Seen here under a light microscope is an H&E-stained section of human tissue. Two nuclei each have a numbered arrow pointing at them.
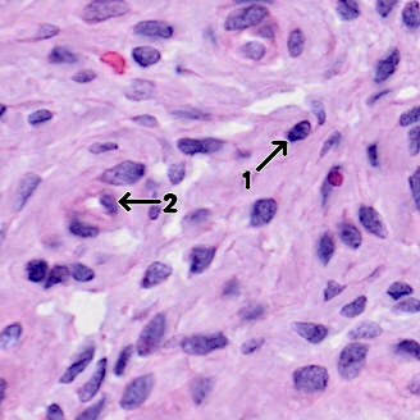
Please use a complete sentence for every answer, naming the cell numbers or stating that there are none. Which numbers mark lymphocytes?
Of all the cells bearing numbers, cell 1 is the only one that is a lymphocyte.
